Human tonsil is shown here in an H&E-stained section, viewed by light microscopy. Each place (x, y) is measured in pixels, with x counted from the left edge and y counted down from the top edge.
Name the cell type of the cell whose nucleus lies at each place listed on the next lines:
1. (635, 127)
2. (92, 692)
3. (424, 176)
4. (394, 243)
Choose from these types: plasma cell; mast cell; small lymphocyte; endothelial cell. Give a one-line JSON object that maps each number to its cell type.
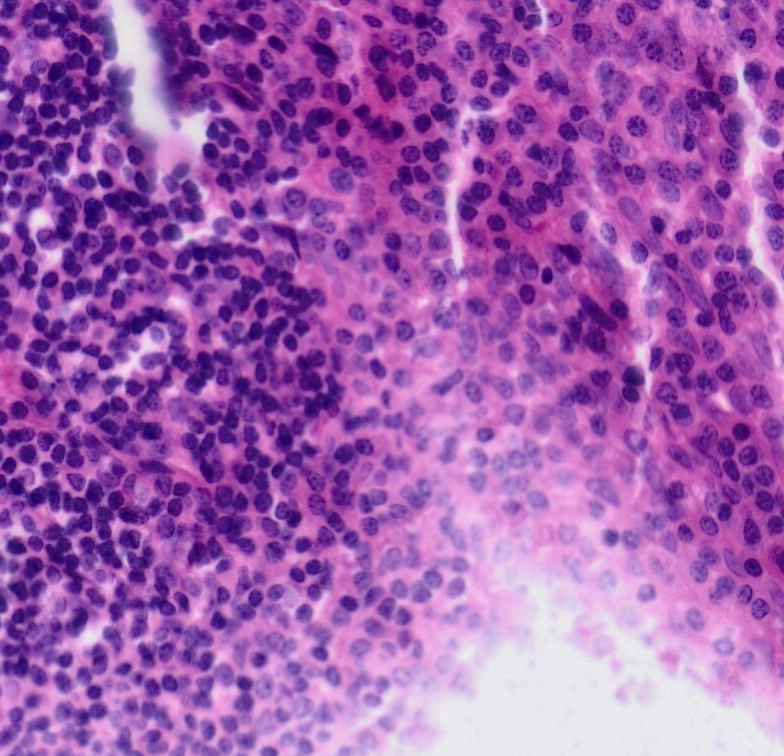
{"1": "plasma cell", "2": "small lymphocyte", "3": "plasma cell", "4": "plasma cell"}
